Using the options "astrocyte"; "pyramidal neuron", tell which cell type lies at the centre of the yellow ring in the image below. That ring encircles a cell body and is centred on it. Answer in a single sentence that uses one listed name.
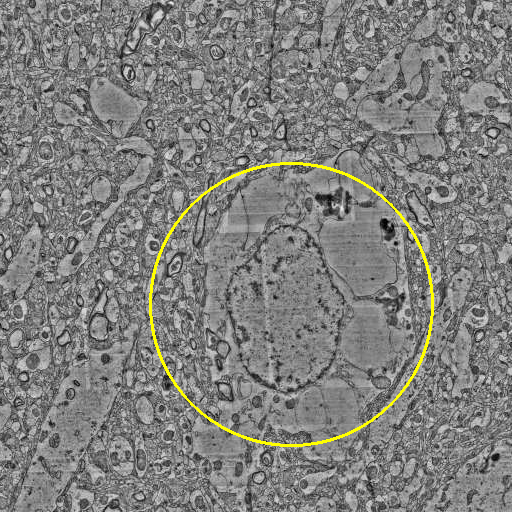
At the centre of the yellow ring lies the body of an astrocyte.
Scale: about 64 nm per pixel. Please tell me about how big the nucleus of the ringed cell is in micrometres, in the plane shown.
Approximately 11 x 8 micrometres in this plane.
